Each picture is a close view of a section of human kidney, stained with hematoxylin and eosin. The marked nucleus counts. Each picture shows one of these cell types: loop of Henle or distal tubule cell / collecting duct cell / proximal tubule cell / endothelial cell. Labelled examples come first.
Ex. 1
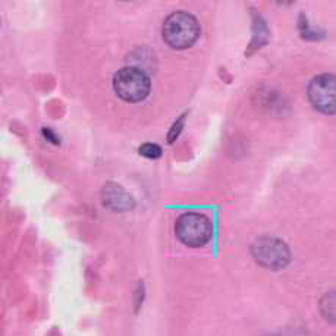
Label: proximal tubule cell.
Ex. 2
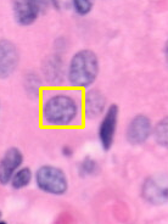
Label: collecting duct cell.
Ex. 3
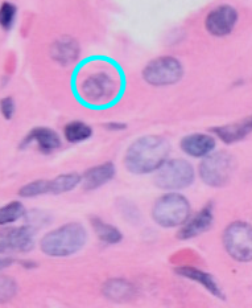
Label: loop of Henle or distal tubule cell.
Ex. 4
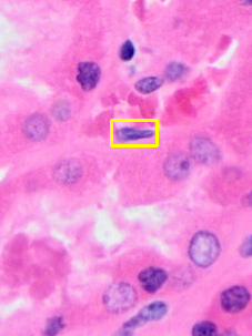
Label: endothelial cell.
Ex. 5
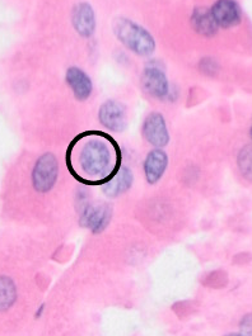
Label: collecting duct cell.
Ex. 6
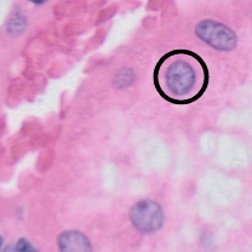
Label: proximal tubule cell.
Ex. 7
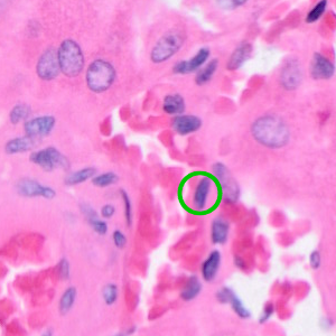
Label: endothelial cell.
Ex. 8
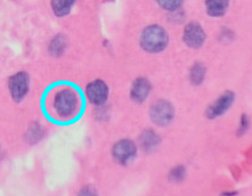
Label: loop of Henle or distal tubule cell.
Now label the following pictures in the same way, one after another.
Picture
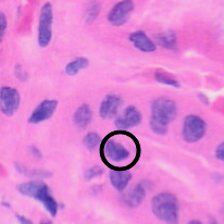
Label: collecting duct cell.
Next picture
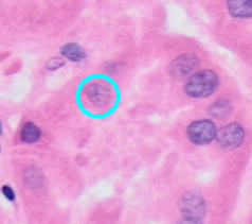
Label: proximal tubule cell.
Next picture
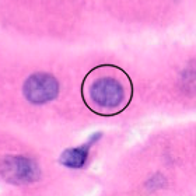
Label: proximal tubule cell.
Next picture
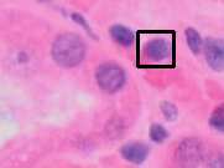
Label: endothelial cell.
